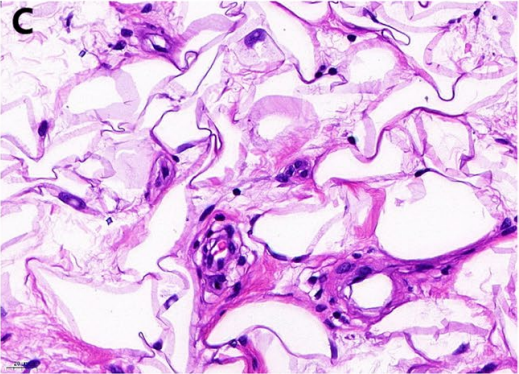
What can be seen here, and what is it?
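Adipose tumor tissue made up of large, empty, angular fat cell spaces with thin pink membranes. Between them lie a few elongated spindle cells with enlarged, dark purple nuclei, and a small vessel with plump cells sits in the pink fibrous septa at the centre.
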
